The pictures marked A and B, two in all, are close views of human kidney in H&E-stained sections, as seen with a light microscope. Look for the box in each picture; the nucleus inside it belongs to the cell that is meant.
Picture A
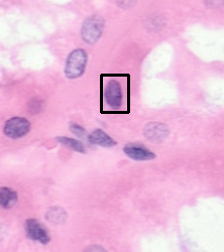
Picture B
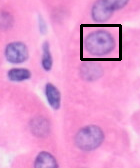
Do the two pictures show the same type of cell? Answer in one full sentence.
Yes, they are the same type: both are proximal tubule cells.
